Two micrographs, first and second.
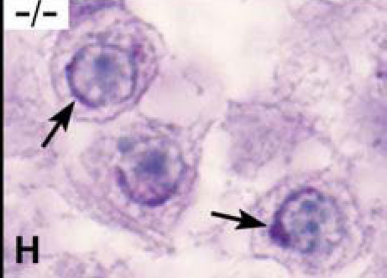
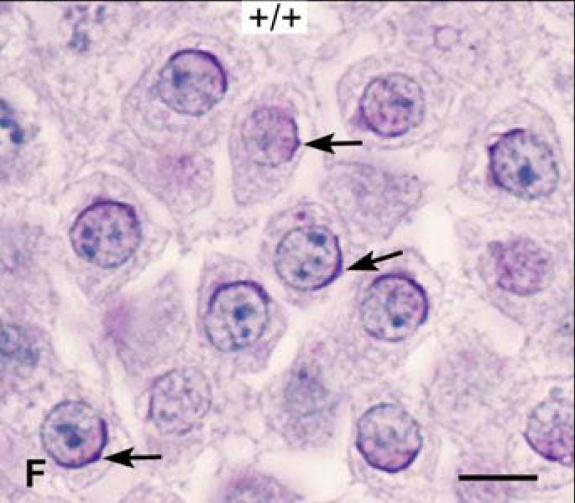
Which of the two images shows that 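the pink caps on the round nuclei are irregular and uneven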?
the first image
